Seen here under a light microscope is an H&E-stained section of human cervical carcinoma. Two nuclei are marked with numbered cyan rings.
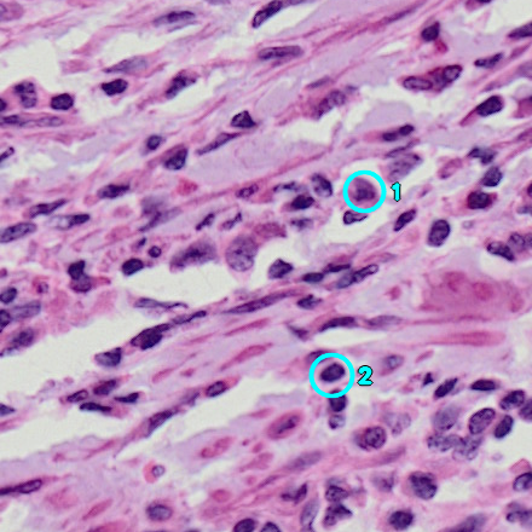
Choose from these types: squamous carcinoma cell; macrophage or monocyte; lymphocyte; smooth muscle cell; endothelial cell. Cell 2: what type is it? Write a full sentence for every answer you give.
The one labeled 2 is a lymphocyte, to put it simply.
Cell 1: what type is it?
The numbered cell 1 is identified here as a macrophage or monocyte.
